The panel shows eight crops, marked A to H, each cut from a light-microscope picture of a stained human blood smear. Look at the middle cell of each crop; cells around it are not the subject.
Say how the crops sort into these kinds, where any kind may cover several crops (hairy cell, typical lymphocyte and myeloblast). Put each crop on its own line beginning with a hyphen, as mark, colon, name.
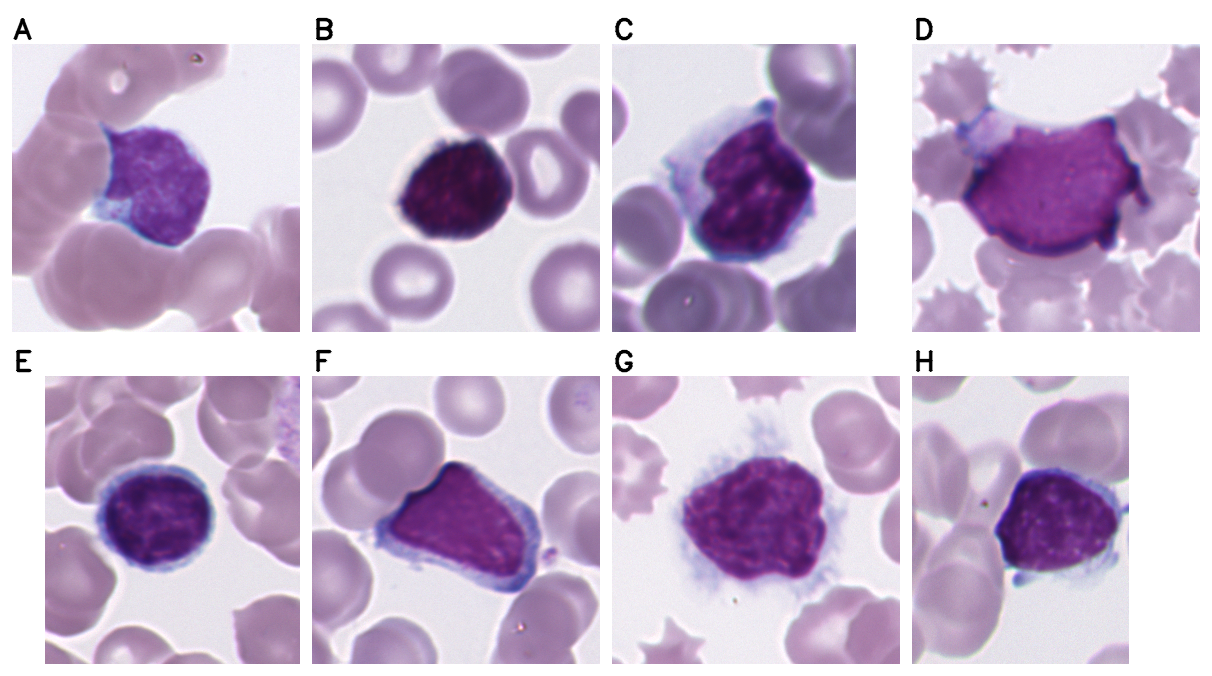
- A: typical lymphocyte
- B: myeloblast
- C: typical lymphocyte
- D: myeloblast
- E: typical lymphocyte
- F: typical lymphocyte
- G: hairy cell
- H: typical lymphocyte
